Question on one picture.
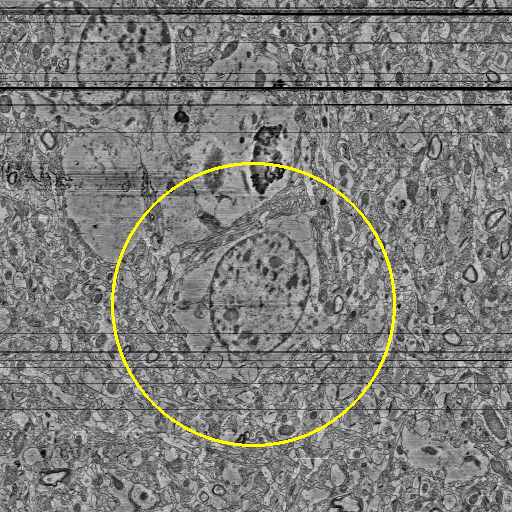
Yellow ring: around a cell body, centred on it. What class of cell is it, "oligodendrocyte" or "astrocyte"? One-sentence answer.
This is an astrocyte, the cell the ring is centred on.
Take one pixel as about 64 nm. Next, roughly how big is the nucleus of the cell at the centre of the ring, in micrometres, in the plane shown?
In this plane the nucleus measures roughly 9 by 6 micrometres.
